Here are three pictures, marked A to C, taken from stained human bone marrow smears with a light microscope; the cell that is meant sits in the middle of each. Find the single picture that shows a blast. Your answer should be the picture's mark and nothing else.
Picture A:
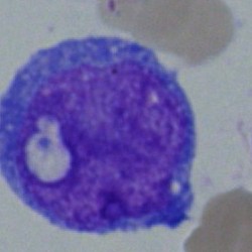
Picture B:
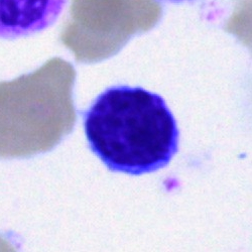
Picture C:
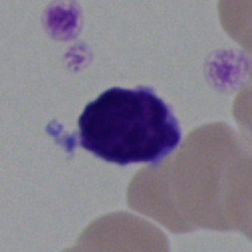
A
